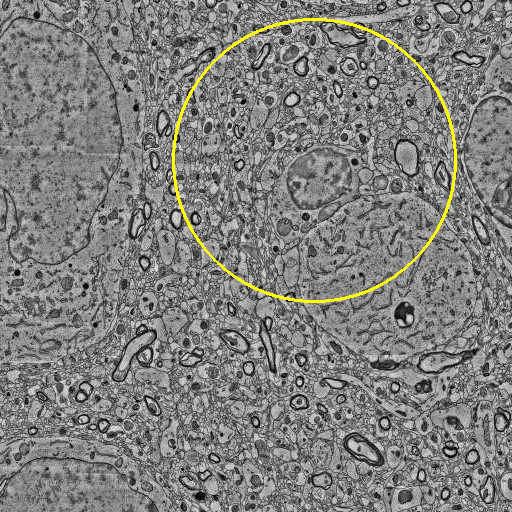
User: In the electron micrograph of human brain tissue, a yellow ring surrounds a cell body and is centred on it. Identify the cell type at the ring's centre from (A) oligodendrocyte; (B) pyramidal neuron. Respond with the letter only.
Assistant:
A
